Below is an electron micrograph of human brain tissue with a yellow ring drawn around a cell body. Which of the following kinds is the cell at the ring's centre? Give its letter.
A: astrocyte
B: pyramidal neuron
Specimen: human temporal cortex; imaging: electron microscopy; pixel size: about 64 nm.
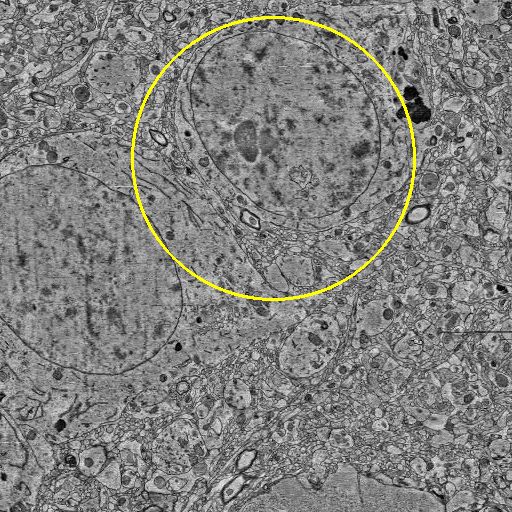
B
